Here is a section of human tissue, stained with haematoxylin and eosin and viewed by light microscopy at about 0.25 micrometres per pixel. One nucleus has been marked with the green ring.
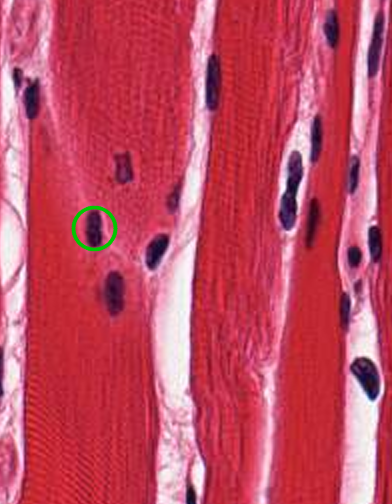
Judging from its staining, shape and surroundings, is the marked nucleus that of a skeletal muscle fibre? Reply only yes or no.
yes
